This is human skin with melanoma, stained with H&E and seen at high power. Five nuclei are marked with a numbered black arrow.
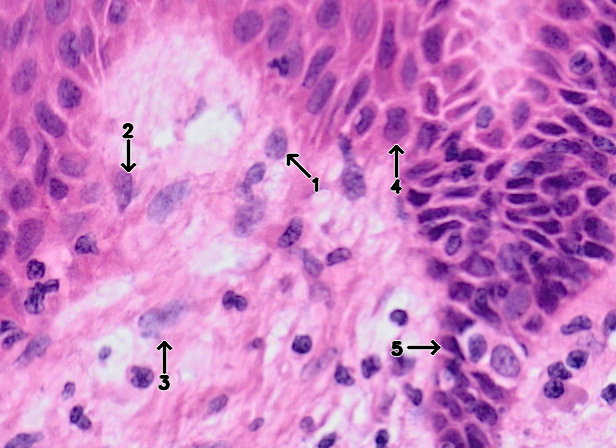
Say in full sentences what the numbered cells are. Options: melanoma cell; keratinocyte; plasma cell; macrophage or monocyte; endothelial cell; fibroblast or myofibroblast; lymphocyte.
Cell 1 is a fibroblast or myofibroblast, cell 2 is a fibroblast or myofibroblast, cell 3 is a fibroblast or myofibroblast, cell 4 is a keratinocyte and cell 5 is a keratinocyte.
